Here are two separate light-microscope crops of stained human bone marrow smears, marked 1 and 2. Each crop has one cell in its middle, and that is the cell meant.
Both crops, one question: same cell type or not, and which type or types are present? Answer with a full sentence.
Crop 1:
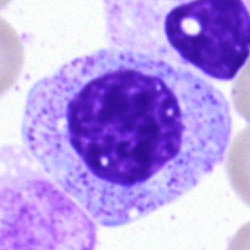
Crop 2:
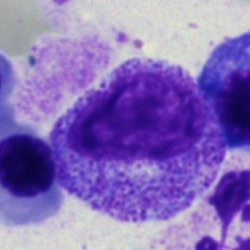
Yes, the pair of crops both show myelocytes.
